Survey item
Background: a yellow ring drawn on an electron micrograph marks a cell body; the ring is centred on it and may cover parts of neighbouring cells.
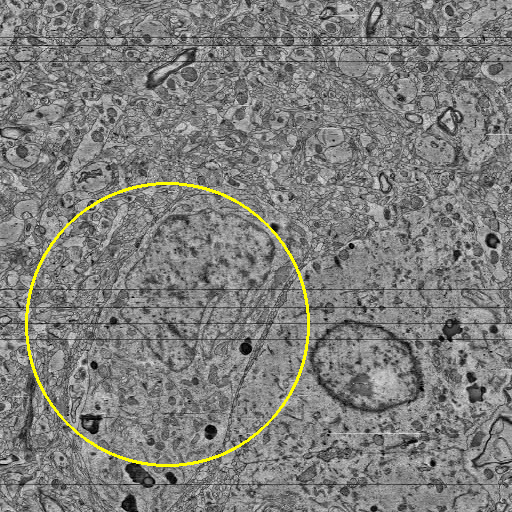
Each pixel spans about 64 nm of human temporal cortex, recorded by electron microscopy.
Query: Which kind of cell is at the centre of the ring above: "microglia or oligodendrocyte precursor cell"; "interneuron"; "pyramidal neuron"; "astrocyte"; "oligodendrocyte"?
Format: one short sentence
The cell in the middle of the ring is an interneuron.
